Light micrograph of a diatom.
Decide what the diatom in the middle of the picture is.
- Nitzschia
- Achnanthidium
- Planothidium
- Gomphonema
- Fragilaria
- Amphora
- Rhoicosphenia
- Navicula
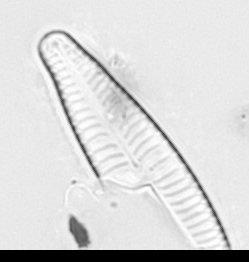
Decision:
Gomphonema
